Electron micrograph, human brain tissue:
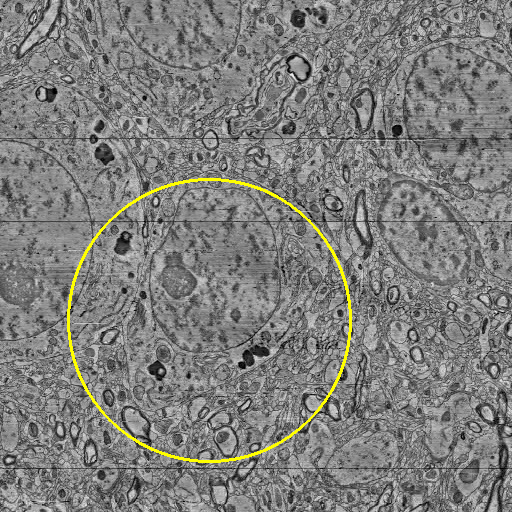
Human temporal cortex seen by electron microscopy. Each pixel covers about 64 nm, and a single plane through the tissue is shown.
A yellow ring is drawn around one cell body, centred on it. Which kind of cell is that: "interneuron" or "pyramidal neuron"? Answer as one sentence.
It is a pyramidal neuron at the centre of the ring.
